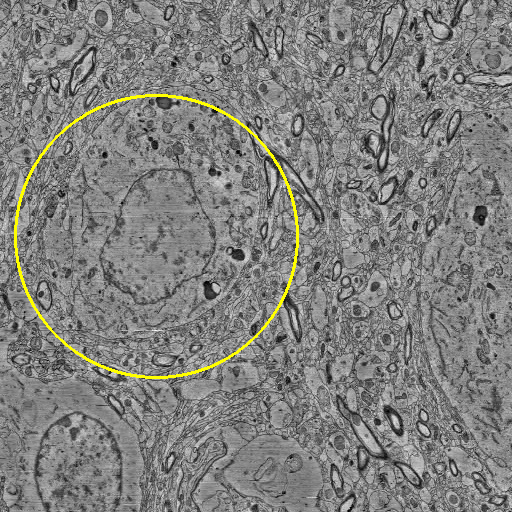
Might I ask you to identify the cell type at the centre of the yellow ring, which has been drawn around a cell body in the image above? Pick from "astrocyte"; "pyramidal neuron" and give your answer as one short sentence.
The centre of the ring falls on a pyramidal neuron.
